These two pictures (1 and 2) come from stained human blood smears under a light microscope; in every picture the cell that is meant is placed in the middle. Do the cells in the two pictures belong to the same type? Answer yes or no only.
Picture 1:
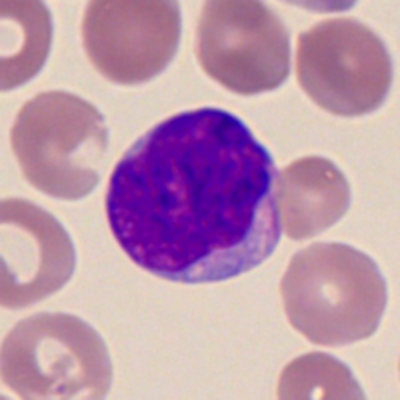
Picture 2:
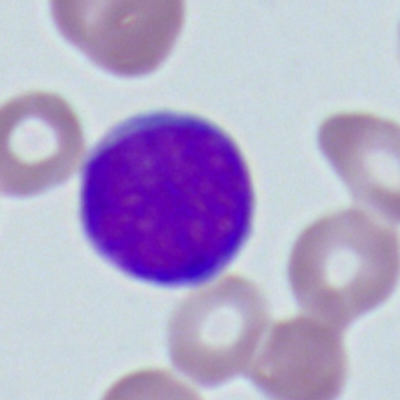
yes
